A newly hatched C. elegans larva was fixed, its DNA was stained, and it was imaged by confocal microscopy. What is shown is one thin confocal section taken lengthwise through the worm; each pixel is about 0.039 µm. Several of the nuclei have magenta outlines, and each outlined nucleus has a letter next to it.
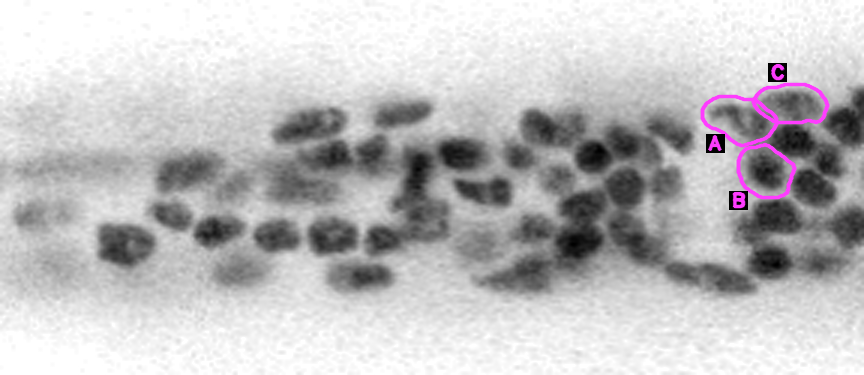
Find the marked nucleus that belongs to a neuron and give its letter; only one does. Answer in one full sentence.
The one from a neuron is C.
